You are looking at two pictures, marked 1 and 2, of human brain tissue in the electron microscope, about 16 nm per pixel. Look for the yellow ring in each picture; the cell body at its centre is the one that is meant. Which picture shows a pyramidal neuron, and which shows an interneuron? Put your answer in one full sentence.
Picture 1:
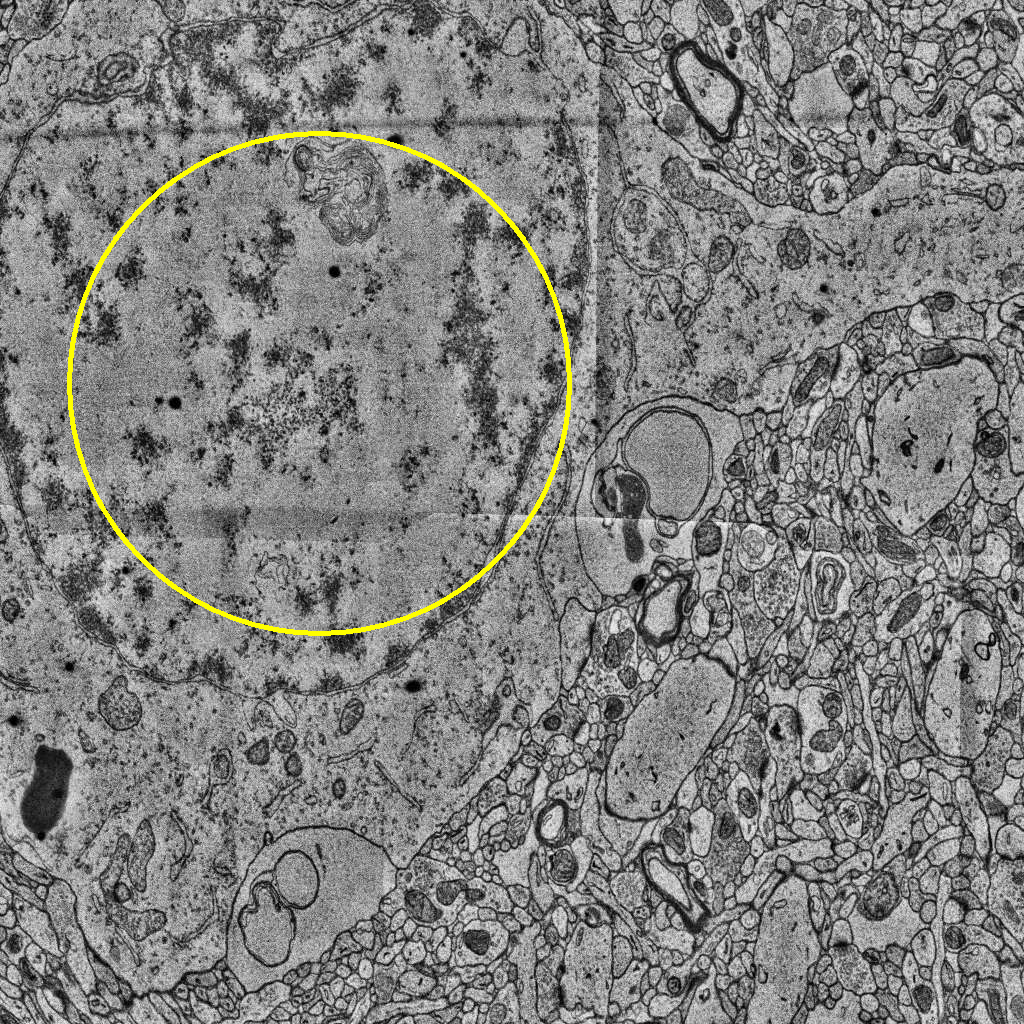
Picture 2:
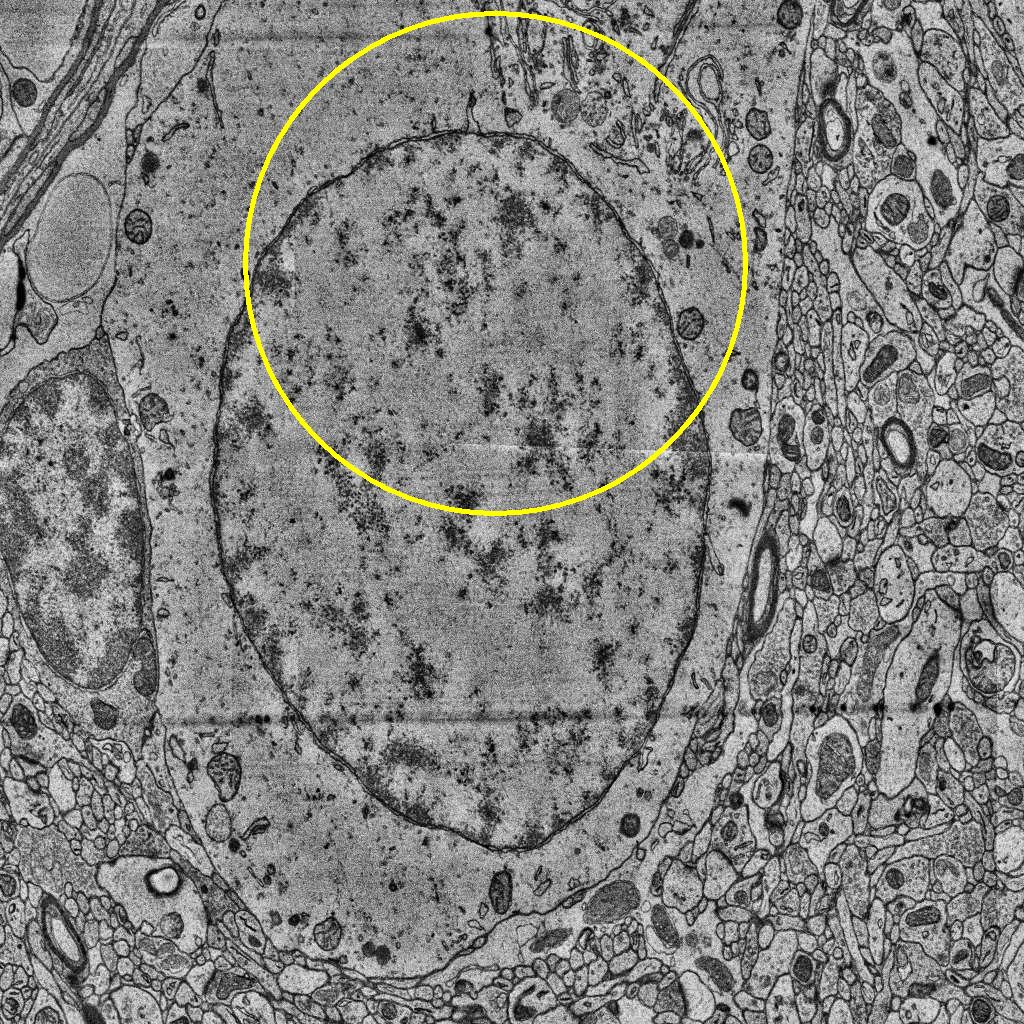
Picture 2 shows a pyramidal neuron, while picture 1 shows an interneuron.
